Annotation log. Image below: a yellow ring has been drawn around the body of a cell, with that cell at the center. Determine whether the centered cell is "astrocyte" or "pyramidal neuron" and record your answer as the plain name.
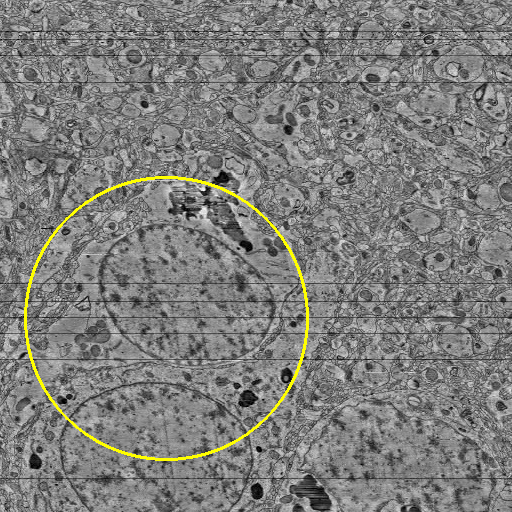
astrocyte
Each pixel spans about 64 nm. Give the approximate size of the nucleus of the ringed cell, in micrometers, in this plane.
The ringed cell's nucleus is about 11 micrometres long and 9 micrometres wide in this plane.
